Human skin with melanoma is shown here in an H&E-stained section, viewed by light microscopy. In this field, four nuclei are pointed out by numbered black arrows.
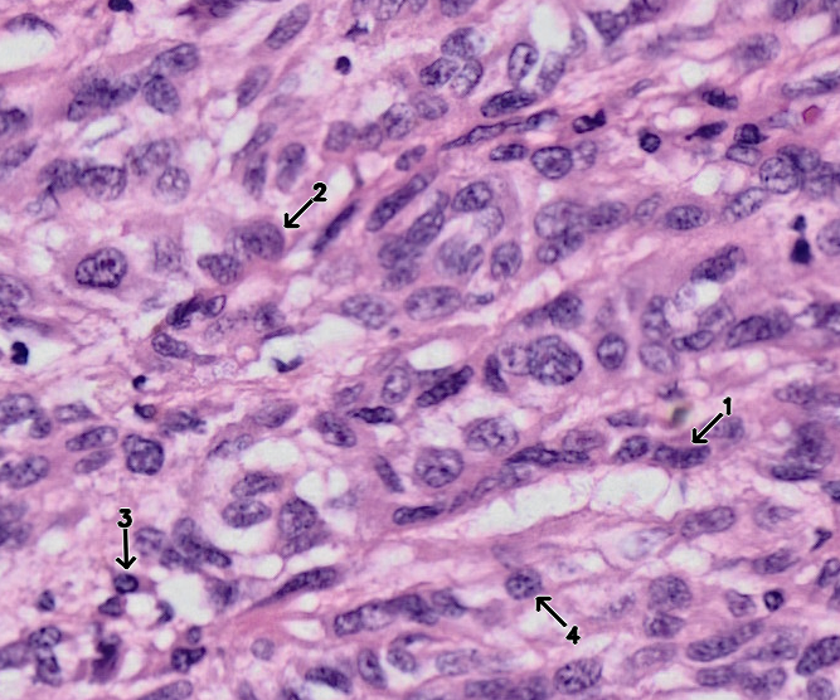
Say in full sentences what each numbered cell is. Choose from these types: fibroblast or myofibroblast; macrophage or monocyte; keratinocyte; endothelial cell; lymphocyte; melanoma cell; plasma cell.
Cell 1 is a melanoma cell, cell 2 is a melanoma cell, cell 3 is a plasma cell and cell 4 is a melanoma cell.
